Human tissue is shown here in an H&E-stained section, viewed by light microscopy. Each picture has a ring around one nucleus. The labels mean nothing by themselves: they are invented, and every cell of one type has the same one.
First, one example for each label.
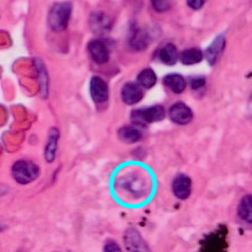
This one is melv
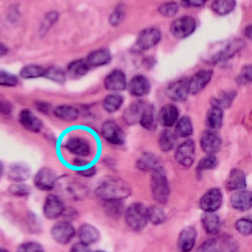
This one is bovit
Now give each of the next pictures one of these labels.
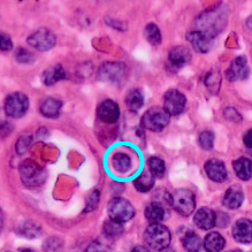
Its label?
bovit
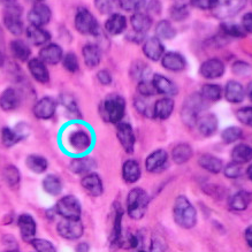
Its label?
bovit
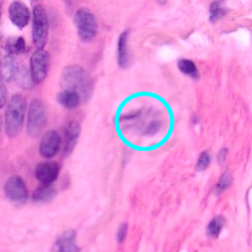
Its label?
melv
